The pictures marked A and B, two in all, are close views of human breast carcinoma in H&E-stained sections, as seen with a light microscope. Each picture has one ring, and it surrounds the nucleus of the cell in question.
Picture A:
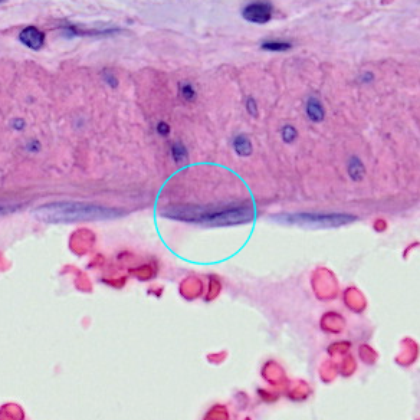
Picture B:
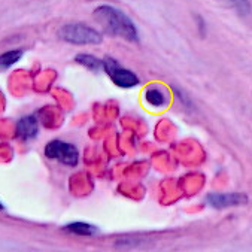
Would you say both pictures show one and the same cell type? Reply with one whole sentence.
Yes; the cells in both pictures are endothelial cells.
